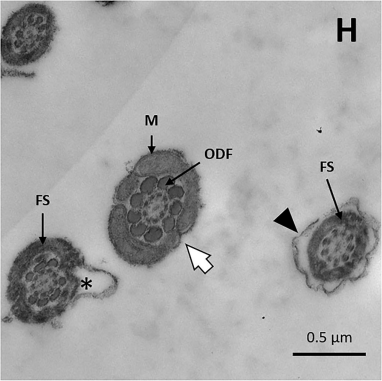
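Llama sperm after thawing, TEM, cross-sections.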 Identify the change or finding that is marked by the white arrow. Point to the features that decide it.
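The middle cross-section shows the ring of mitochondria with no membrane around it. The mitochondrial surface is bare at the white arrow. The answer: the entire loss of the plasma membrane.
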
